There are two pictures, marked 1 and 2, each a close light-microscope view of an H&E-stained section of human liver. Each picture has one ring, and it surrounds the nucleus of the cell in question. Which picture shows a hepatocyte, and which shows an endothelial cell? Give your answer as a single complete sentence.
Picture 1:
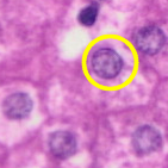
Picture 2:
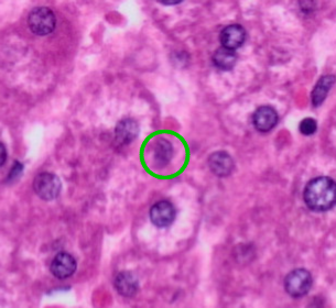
In picture 1 the cell is a hepatocyte; in picture 2, an endothelial cell.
